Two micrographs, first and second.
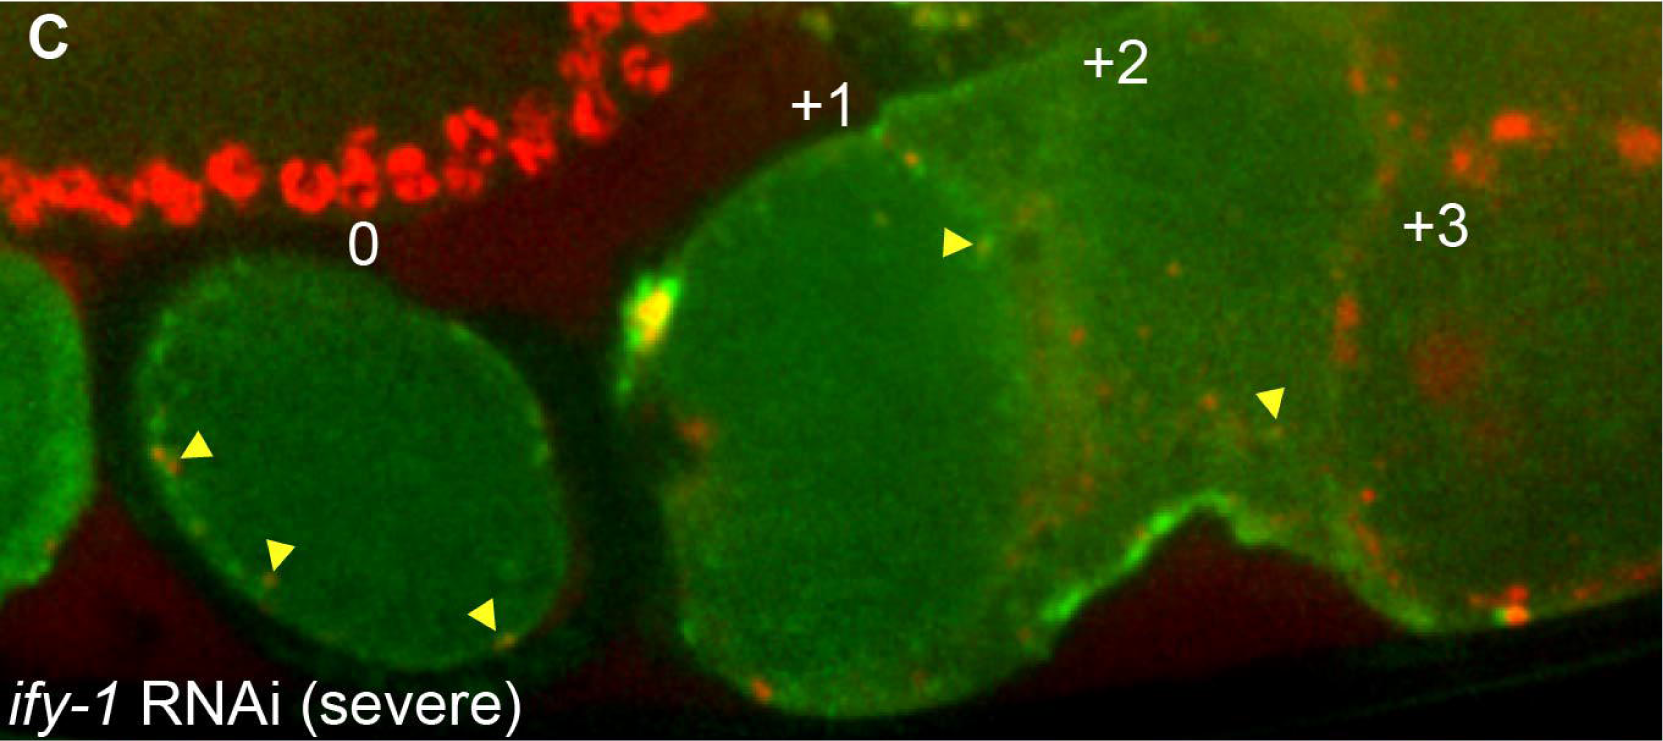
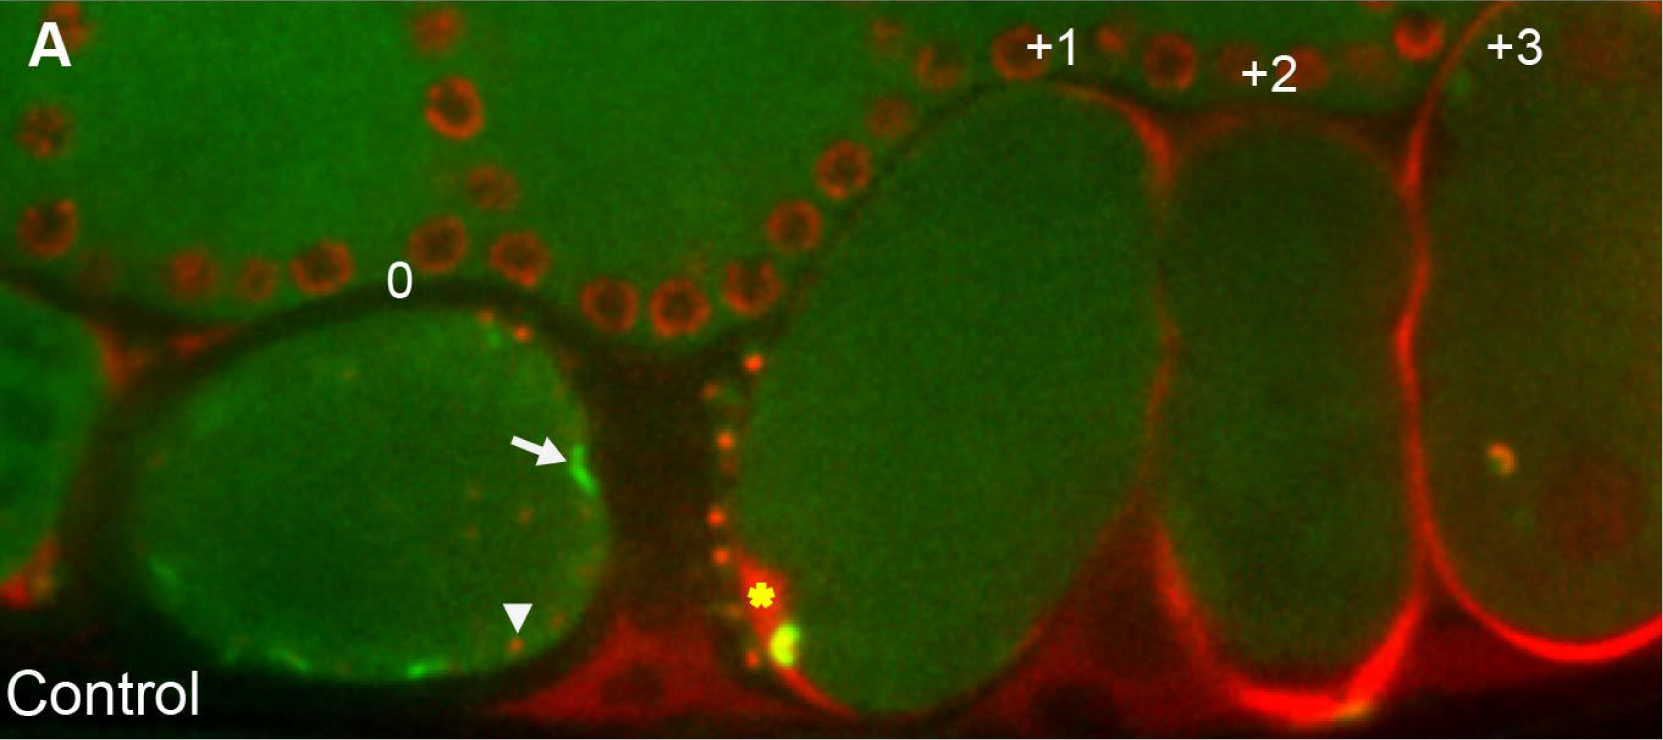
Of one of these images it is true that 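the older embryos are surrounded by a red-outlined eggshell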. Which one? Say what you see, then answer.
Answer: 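First image: the older embryos have no continuous red rim around them. Second image: the older embryos on the right are bordered by a bright continuous red rim. So: the second image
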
